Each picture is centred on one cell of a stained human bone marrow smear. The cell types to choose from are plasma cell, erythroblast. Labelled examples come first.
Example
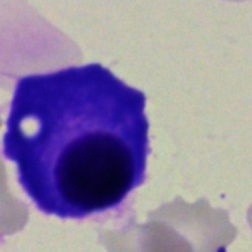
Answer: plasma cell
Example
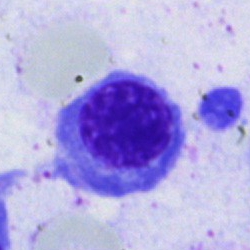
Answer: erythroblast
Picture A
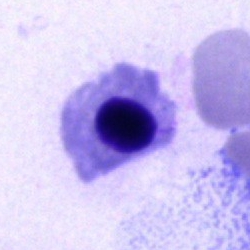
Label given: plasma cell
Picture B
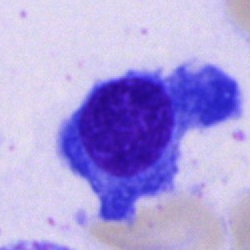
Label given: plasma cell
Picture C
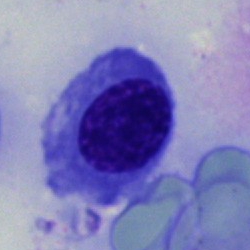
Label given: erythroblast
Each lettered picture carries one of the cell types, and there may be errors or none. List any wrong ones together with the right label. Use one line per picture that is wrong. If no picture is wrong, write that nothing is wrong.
A: not plasma cell but erythroblast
